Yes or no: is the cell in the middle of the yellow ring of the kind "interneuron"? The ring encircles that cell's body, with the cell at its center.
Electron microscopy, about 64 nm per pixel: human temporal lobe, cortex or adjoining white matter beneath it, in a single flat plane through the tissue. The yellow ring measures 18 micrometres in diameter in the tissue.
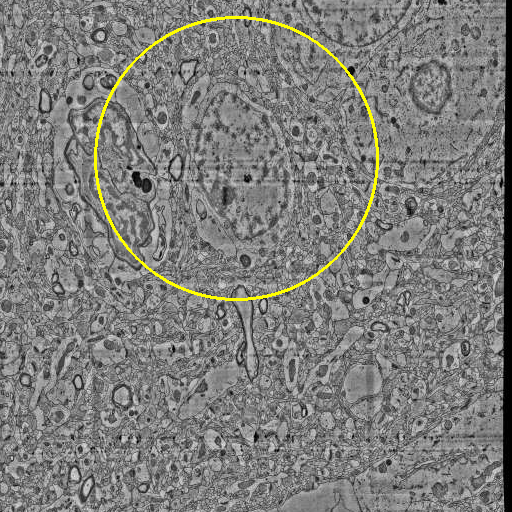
yes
